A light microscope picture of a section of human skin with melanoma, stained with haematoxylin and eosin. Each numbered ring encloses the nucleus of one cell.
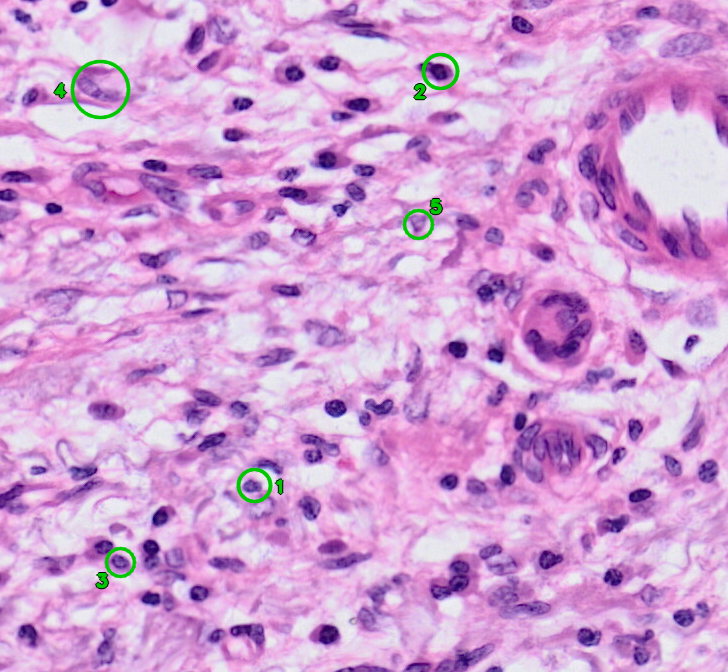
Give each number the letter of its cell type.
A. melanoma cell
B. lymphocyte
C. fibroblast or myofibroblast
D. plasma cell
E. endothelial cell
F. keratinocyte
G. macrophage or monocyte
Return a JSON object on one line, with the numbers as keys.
{"1": "B", "2": "D", "3": "D", "4": "C", "5": "C"}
